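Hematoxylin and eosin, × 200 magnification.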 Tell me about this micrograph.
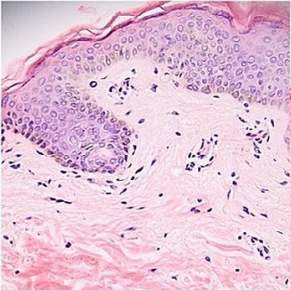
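This is skin, with the epidermis along the top and the dermis below it. The epidermis is a stratified layer of keratinocytes. It has a thin pink keratin layer on its surface and a downward ridge at the left, where the basal cells have crowded, darker purple nuclei and some brown pigment. Beneath it the dermis is made of pale pink, loosely woven collagen, with scattered elongated fibroblast nuclei and a few small blood vessels.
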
